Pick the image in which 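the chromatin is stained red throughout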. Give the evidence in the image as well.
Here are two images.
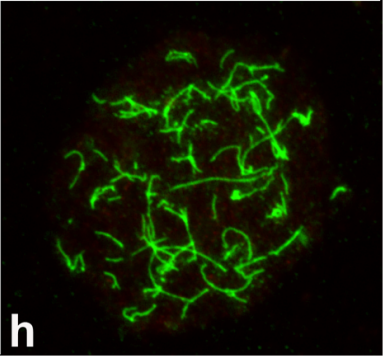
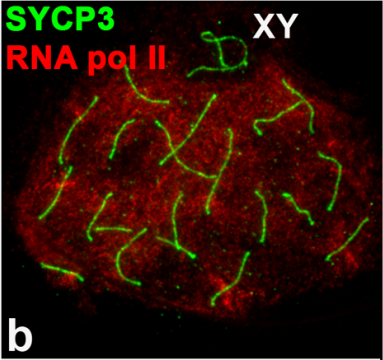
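Second image: a diffuse red stain fills the spread nucleus around the green axes.
The second image.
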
